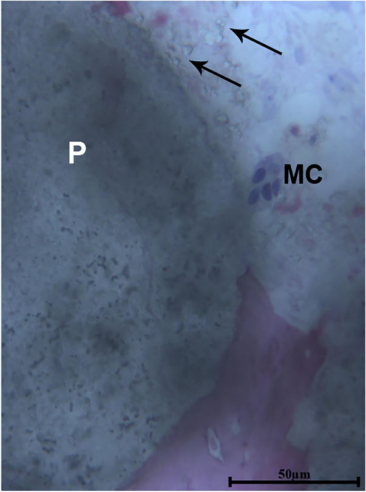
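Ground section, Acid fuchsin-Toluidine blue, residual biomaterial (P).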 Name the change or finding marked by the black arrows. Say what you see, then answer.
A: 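Small granular fragments lie at the particle surface.
Conclusion: signs of resorption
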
